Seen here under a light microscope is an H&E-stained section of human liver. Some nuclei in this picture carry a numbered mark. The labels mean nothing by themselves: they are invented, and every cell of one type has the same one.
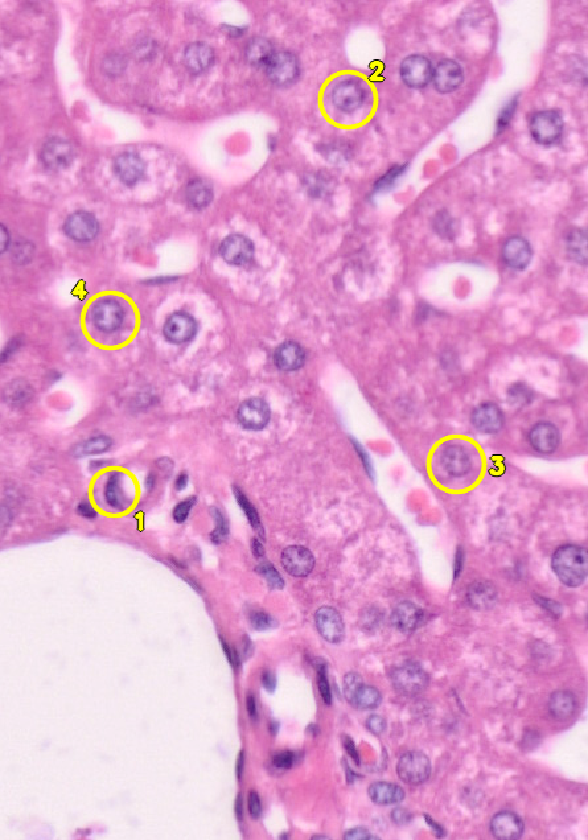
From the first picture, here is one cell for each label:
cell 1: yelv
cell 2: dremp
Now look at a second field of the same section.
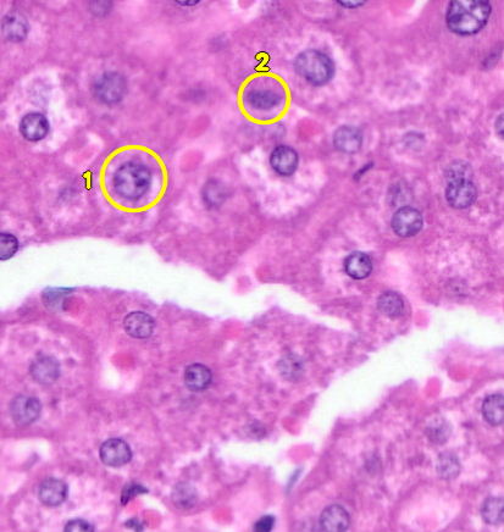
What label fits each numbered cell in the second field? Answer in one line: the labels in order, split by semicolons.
dremp; yelv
